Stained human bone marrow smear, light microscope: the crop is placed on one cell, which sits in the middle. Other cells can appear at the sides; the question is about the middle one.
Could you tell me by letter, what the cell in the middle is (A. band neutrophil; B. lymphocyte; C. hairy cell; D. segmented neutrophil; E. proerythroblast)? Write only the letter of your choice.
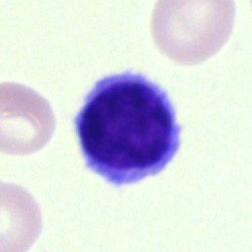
B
